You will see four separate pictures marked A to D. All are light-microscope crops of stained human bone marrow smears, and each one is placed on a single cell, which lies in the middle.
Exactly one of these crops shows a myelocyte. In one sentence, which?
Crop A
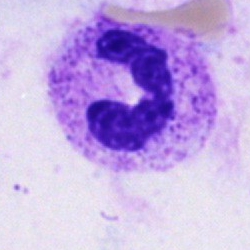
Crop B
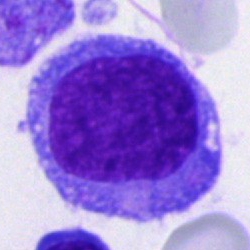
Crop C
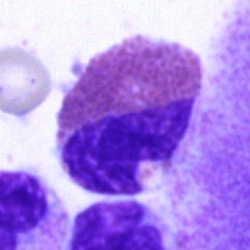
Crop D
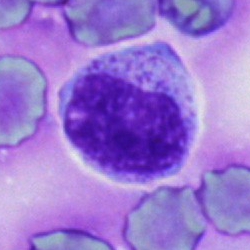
Crop D represents a myelocyte, while the other crops do not.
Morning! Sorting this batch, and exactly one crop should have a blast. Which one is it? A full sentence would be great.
Crop B is the crop featuring a blast at its center.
